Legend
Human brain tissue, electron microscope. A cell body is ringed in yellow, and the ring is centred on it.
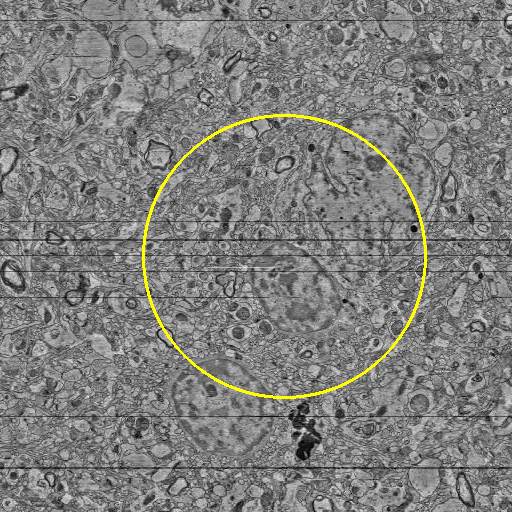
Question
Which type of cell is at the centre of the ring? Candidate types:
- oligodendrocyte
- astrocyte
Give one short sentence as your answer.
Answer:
The yellow ring is centred here on an oligodendrocyte.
